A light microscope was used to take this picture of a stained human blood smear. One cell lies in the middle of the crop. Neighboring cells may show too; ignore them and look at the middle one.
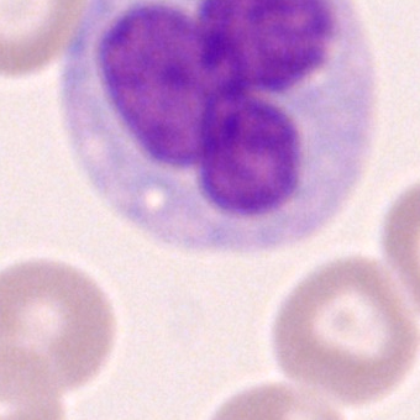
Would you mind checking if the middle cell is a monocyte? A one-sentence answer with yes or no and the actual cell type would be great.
Yes, the cell that occupies the centre is a monocyte.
